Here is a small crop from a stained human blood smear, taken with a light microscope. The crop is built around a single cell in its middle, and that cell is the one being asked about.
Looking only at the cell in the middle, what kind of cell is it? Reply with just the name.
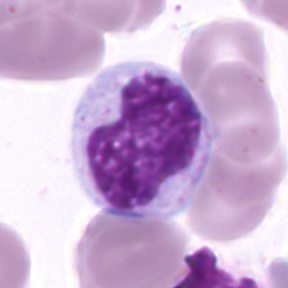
metamyelocyte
